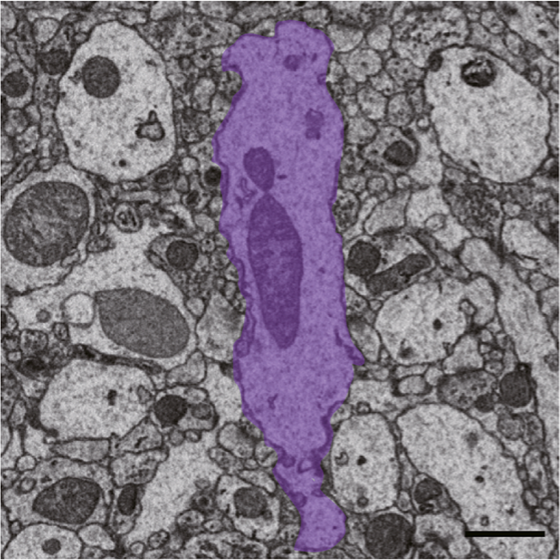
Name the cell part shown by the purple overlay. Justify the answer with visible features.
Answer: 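Dendritic shaft. The purple profile is long and tube-like among many small membrane-bound profiles of neuropil. It contains an elongated mitochondrion and a smaller round one. It is far wider than the surrounding small round profiles.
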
